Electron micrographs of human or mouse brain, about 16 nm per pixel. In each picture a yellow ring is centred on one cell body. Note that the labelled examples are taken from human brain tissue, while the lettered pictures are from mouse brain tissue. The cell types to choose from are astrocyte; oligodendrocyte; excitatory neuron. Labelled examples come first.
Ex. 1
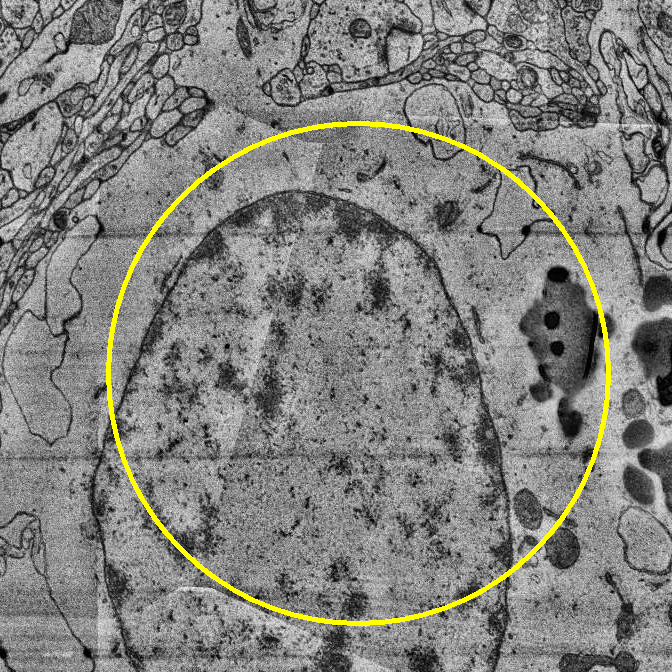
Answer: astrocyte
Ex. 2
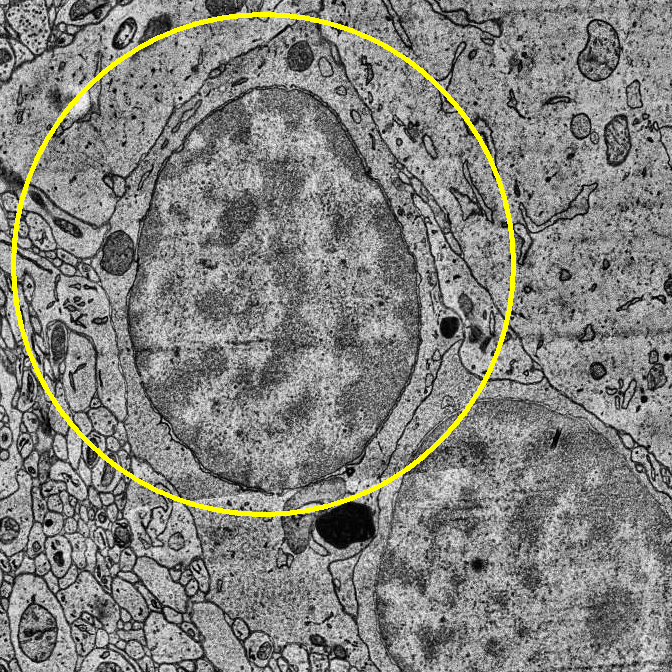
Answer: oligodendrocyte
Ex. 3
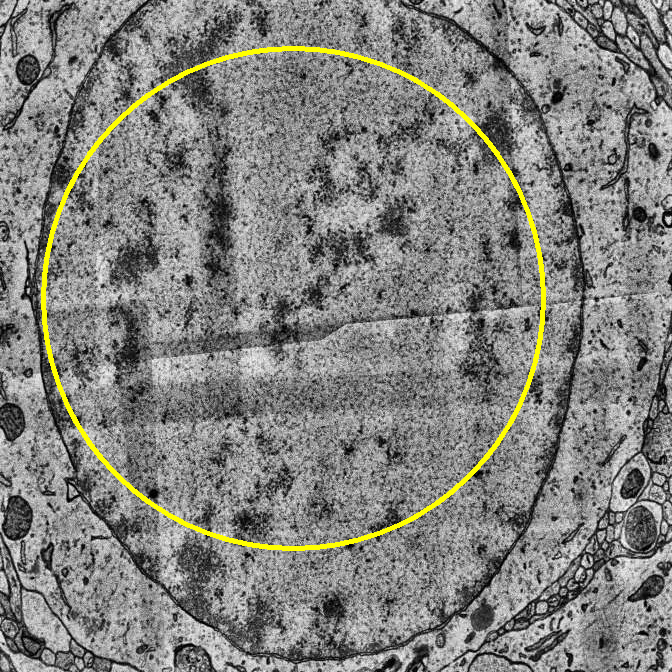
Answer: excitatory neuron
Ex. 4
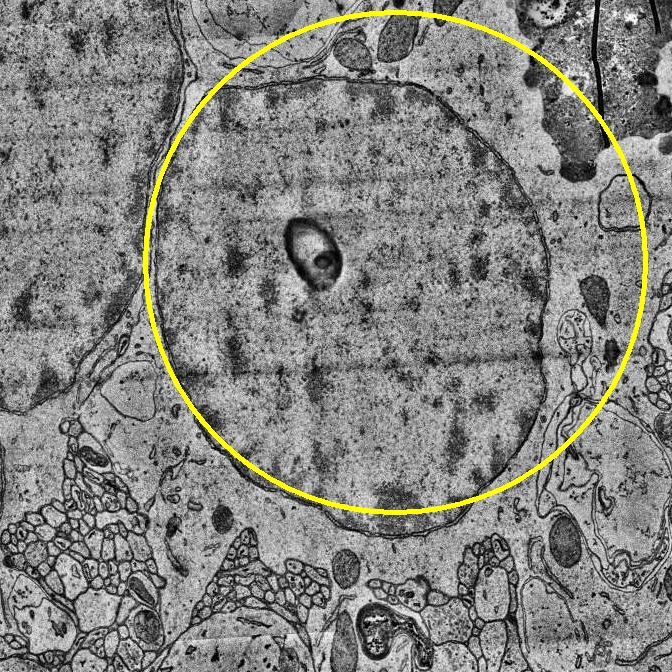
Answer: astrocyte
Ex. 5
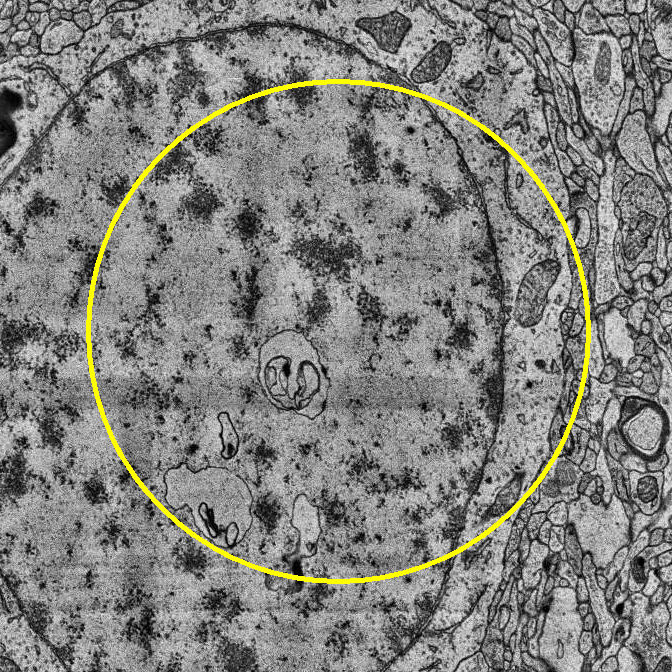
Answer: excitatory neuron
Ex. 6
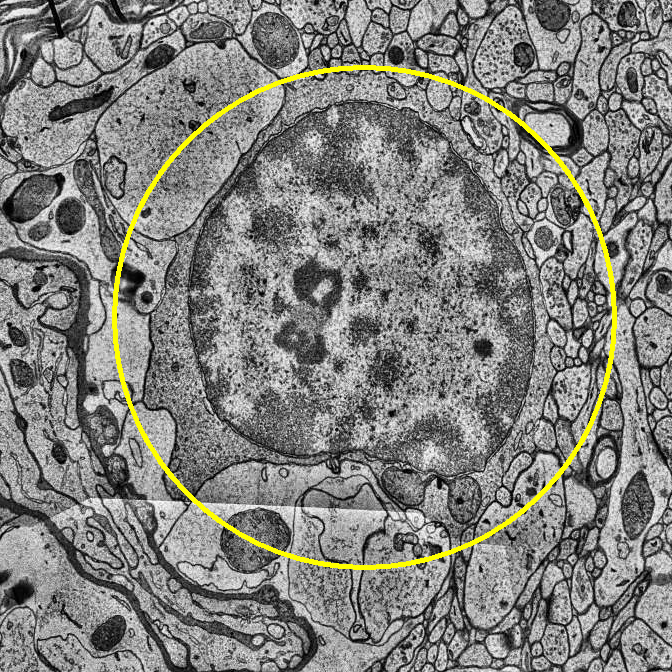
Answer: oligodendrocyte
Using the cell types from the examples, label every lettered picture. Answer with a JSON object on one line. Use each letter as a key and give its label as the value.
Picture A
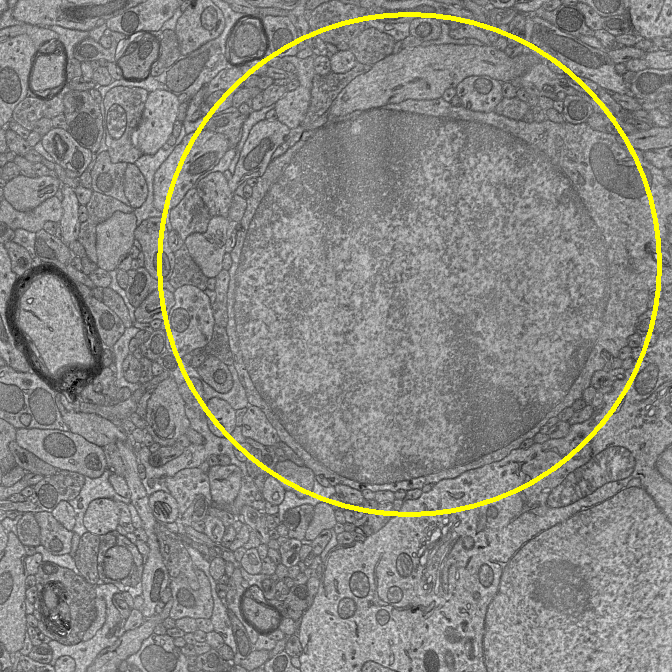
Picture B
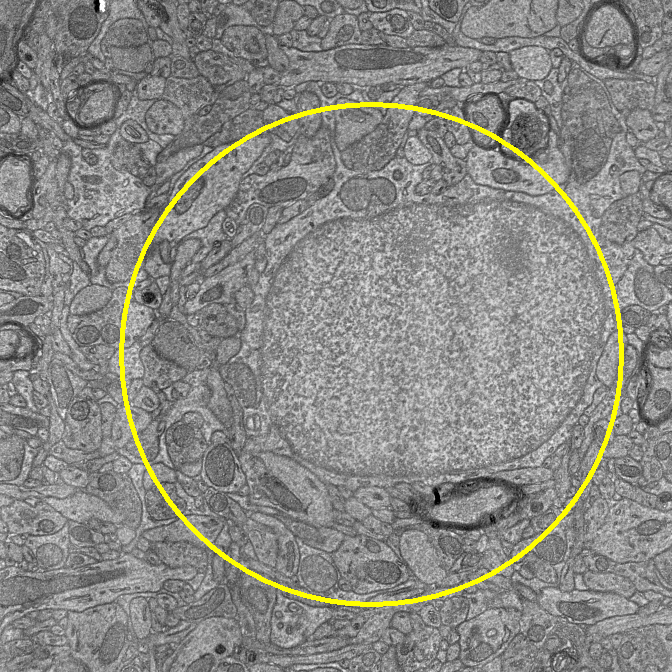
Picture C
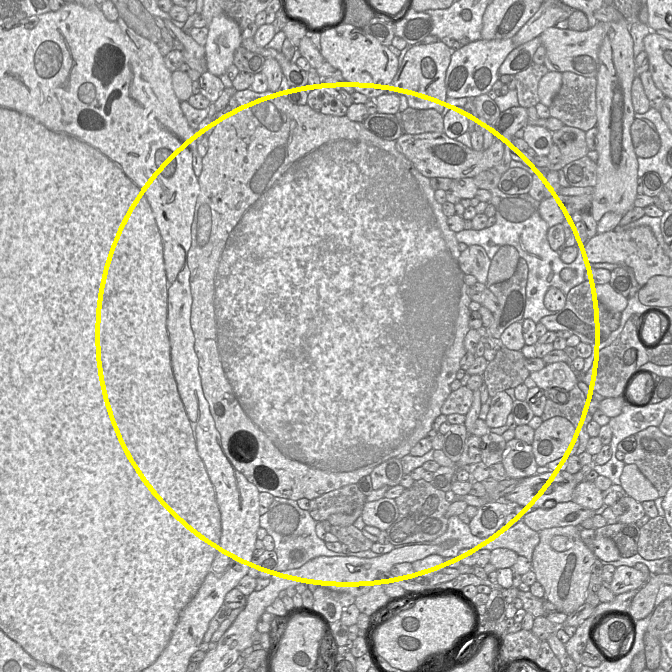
{"A": "oligodendrocyte", "B": "astrocyte", "C": "oligodendrocyte"}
